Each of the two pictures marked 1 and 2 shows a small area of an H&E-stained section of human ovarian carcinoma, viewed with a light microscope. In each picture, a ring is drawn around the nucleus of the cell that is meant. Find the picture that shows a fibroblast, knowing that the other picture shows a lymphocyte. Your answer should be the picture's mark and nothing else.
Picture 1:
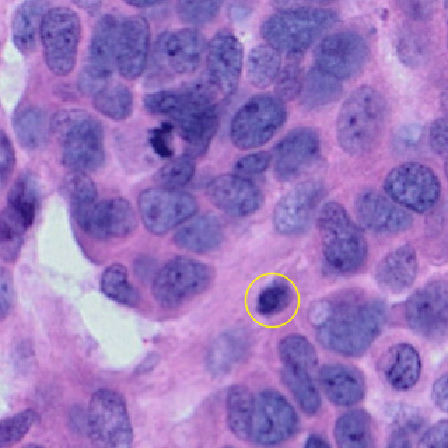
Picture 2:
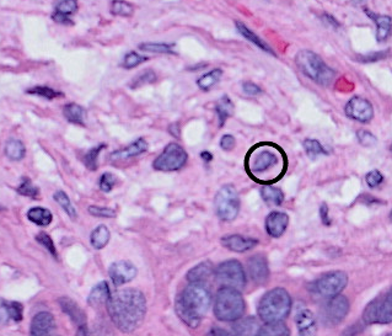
2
